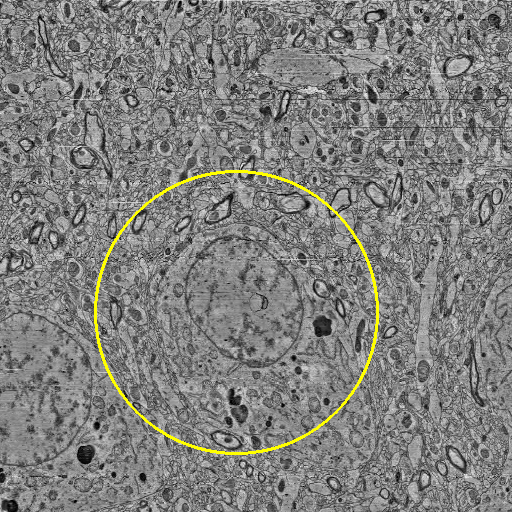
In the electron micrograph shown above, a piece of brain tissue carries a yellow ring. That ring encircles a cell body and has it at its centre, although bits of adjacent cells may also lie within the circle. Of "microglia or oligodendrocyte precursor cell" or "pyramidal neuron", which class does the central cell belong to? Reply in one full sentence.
The cell body at the centre of the yellow ring belongs to a pyramidal neuron.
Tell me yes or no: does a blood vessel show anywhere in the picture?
No, none is visible.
